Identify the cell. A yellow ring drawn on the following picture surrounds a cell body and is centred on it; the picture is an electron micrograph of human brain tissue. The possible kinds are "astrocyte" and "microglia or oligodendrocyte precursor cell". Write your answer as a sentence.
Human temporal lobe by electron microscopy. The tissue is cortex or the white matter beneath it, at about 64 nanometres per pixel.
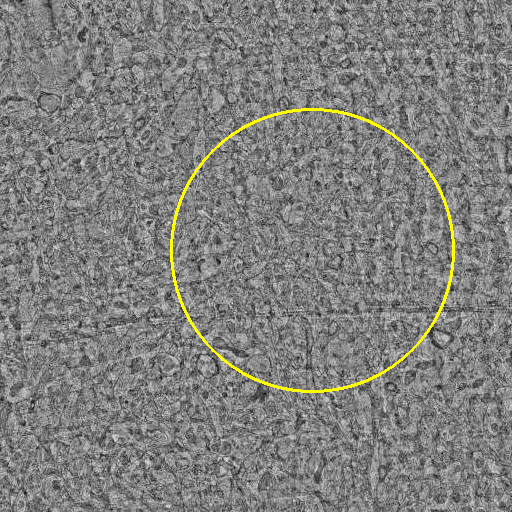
The cell identified by the ring is a microglial cell or oligodendrocyte precursor cell.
